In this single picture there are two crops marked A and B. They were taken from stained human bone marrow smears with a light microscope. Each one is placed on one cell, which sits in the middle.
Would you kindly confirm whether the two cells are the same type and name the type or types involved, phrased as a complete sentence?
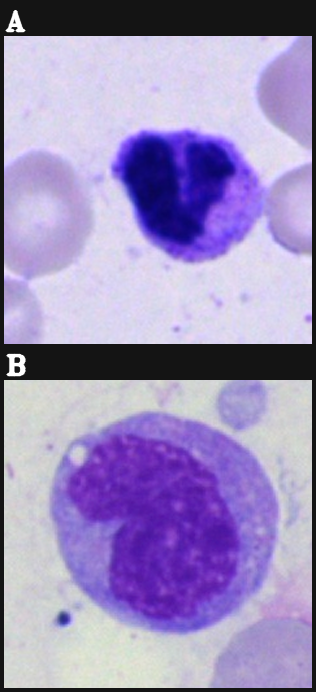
No, the cell shown in crop A is a segmented neutrophil, and the cell shown in crop B is a monocyte.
